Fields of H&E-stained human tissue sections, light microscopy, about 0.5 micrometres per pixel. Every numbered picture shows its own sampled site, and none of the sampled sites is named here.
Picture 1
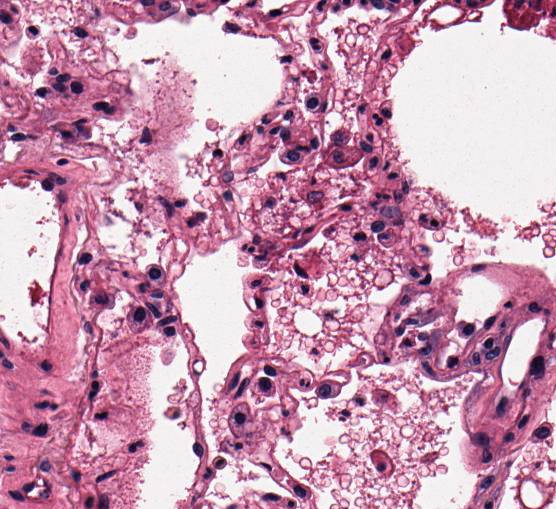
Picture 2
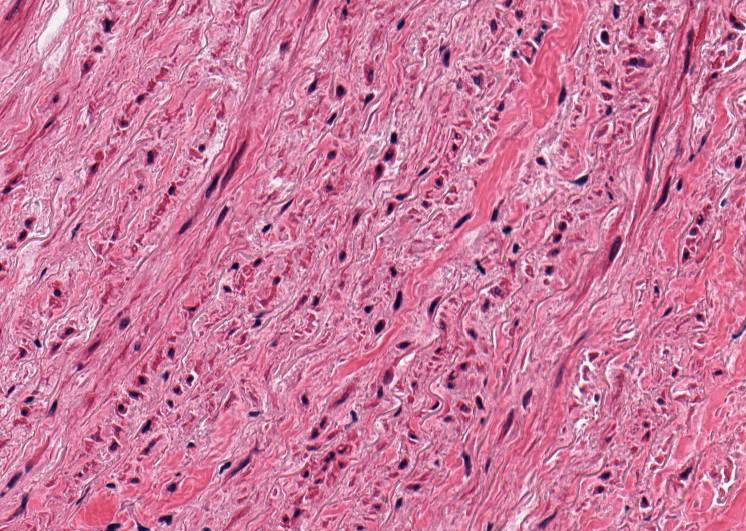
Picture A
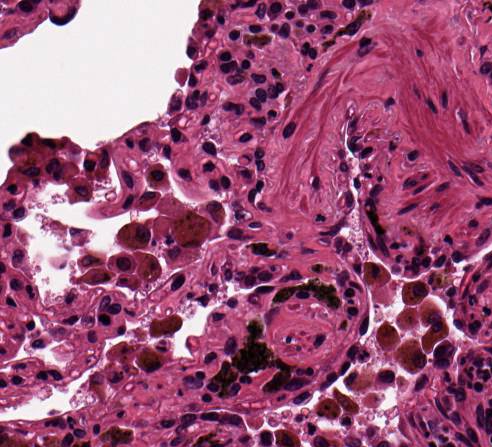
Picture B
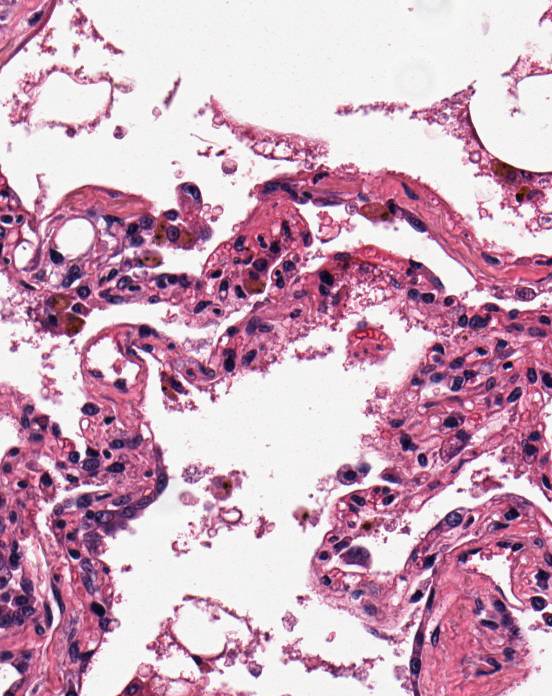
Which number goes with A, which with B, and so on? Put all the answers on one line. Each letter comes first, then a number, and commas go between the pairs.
A 1, B 1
